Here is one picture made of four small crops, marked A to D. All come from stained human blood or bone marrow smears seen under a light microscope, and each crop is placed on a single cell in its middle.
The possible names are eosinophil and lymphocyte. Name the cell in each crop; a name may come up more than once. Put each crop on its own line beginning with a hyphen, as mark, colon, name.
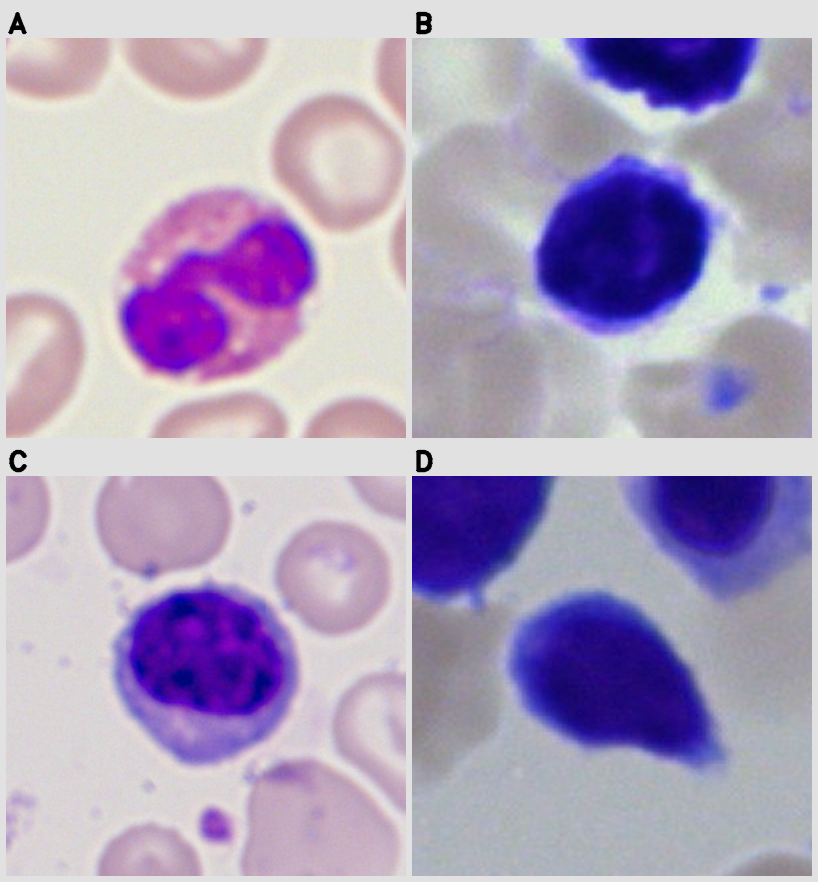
- A: eosinophil
- B: lymphocyte
- C: lymphocyte
- D: lymphocyte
